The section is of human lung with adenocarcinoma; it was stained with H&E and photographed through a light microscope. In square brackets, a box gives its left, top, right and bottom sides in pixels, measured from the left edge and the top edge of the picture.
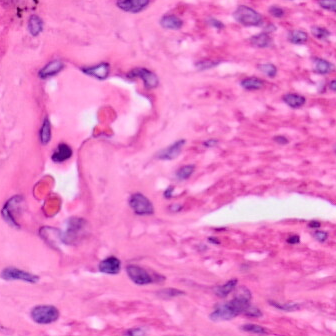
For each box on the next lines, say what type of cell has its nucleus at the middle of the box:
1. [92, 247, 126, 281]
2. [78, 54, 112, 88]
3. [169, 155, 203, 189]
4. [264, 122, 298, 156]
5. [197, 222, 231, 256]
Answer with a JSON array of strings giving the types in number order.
["lymphocyte", "endothelial cell", "smooth muscle cell or pericyte", "smooth muscle cell or pericyte", "smooth muscle cell or pericyte"]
